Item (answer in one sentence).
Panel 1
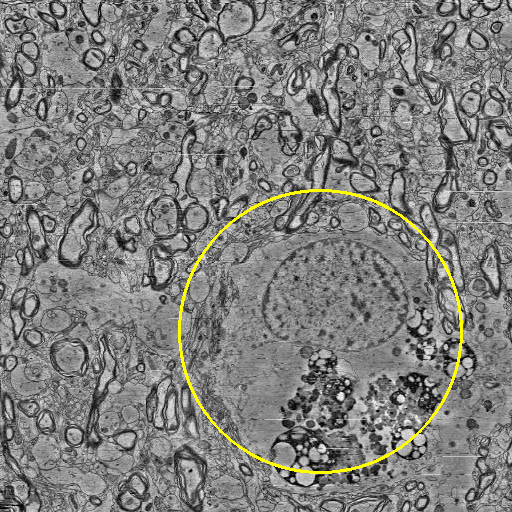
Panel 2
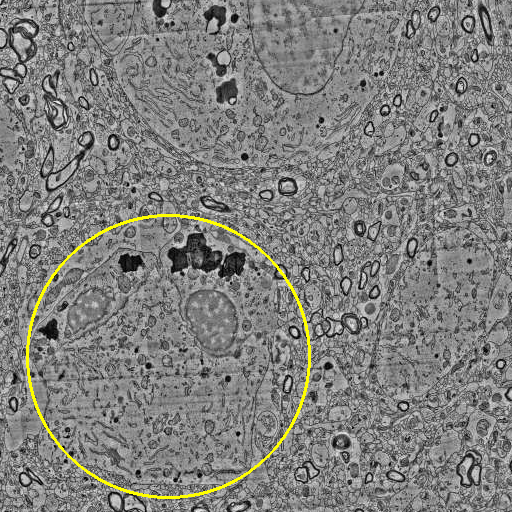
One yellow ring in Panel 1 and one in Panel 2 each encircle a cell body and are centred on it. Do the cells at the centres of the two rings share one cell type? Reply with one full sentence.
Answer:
No, Panel 1 and Panel 2 show cells of two types at the centres of their rings.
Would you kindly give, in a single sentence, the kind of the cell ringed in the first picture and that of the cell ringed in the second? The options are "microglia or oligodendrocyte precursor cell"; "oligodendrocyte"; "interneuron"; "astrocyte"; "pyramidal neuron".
The second cell is a pyramidal neuron, and the first cell is an astrocyte.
